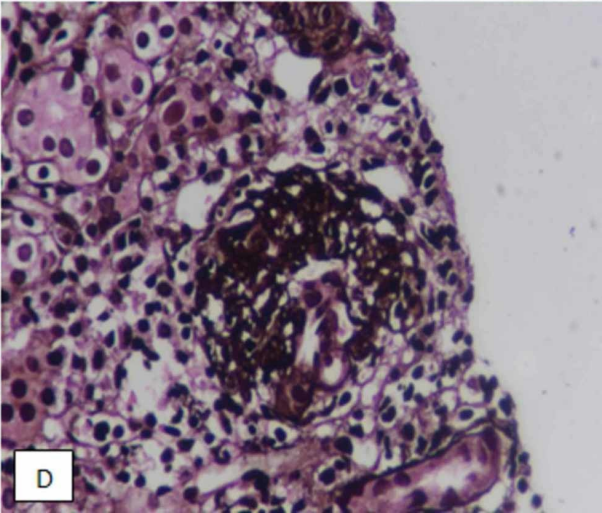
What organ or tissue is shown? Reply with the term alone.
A: glomerulus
